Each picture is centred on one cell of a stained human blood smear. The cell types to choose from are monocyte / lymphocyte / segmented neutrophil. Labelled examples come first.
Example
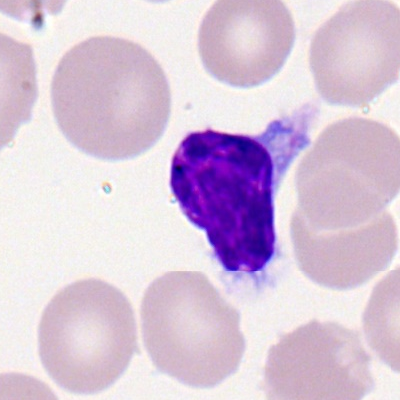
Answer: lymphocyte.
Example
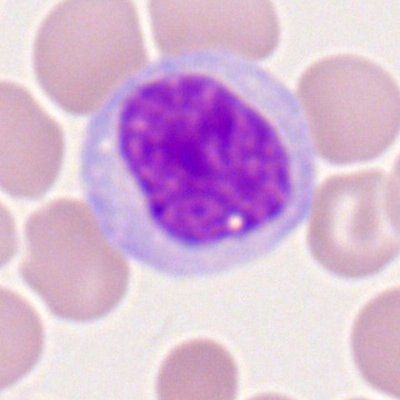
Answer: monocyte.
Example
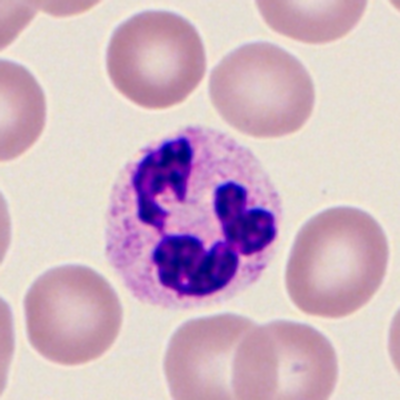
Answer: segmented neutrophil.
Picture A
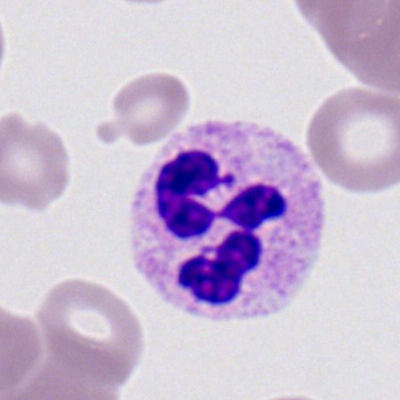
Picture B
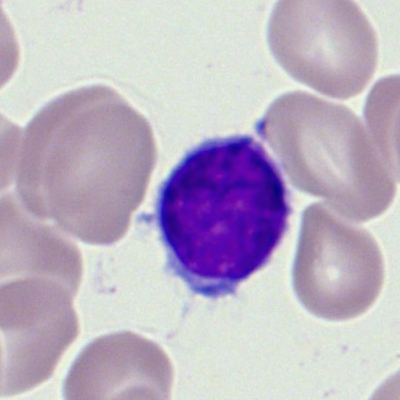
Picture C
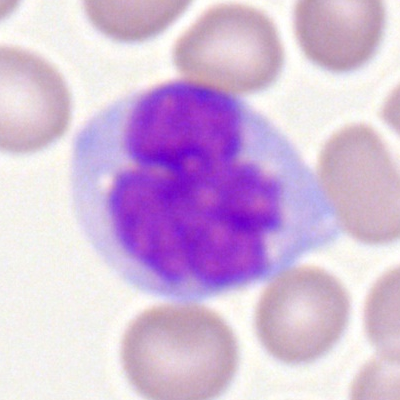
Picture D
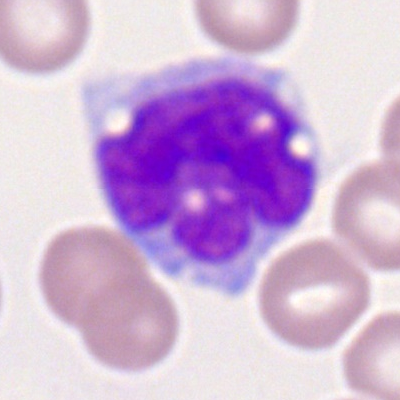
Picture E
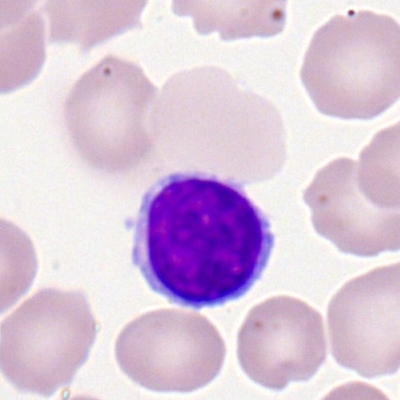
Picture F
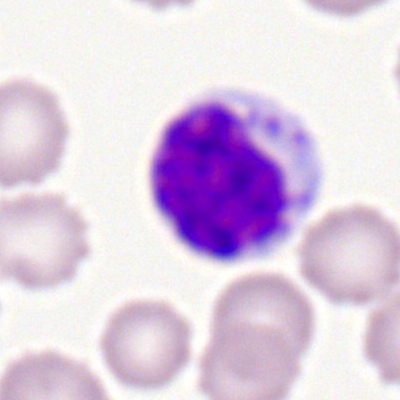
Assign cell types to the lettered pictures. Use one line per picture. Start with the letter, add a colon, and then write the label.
A: segmented neutrophil.
B: lymphocyte.
C: monocyte.
D: monocyte.
E: lymphocyte.
F: lymphocyte.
